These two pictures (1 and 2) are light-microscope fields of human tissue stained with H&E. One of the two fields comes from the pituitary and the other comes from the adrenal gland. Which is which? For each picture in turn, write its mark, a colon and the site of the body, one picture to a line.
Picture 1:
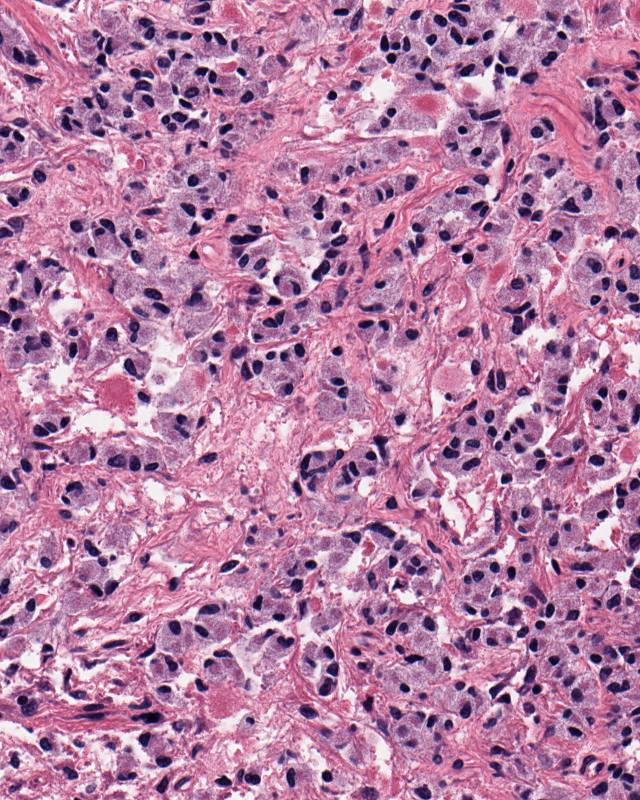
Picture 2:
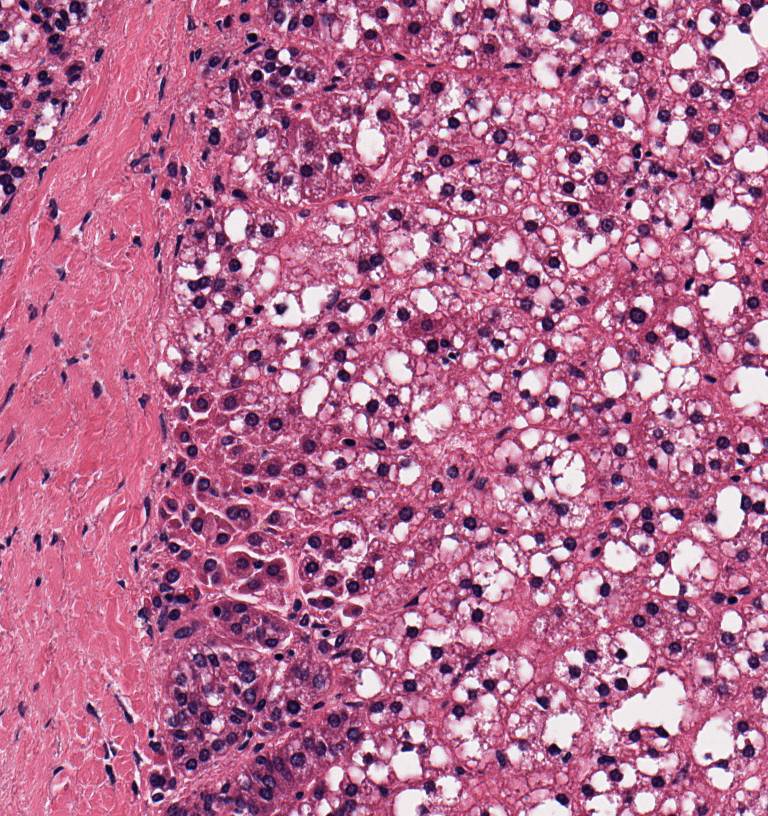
1: pituitary
2: adrenal gland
